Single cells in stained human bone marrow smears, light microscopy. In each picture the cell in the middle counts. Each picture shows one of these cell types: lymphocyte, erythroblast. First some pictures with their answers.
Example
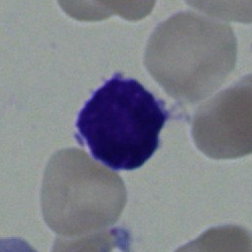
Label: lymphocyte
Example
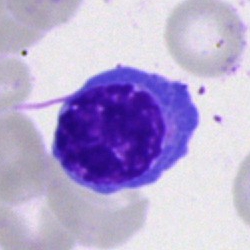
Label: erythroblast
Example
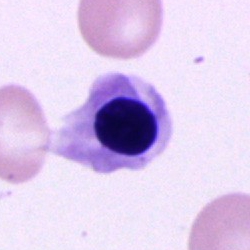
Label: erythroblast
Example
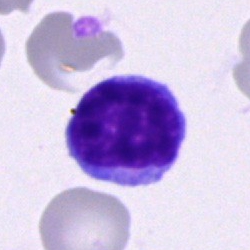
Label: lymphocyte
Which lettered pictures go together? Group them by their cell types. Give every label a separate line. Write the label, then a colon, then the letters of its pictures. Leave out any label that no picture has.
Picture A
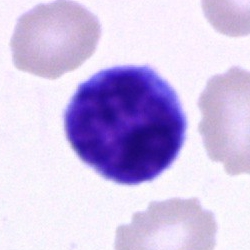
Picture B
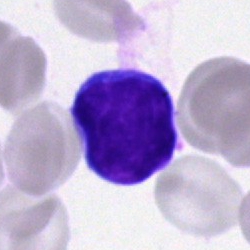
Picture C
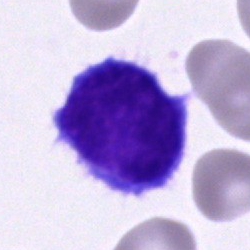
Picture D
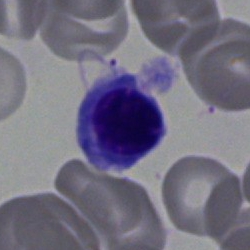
lymphocyte: A, B, C
erythroblast: D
